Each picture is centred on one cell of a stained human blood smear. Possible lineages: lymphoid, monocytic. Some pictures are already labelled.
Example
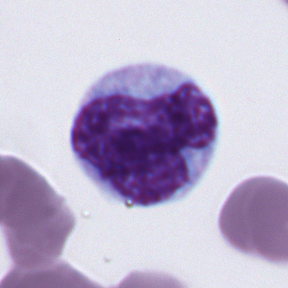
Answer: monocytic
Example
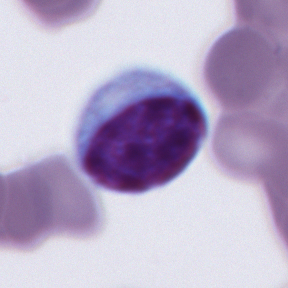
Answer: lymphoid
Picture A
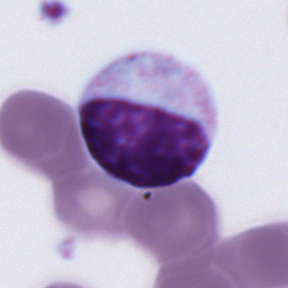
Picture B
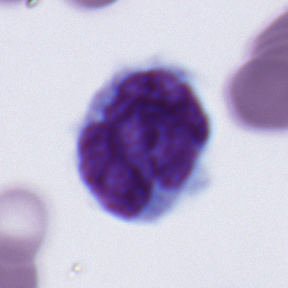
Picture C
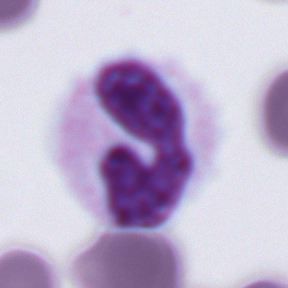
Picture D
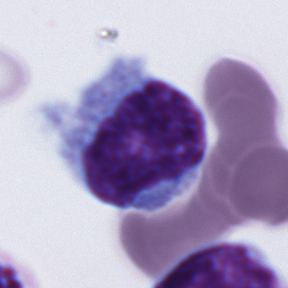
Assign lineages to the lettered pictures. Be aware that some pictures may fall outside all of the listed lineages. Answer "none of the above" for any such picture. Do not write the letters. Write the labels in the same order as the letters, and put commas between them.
lymphoid, monocytic, none of the above, monocytic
